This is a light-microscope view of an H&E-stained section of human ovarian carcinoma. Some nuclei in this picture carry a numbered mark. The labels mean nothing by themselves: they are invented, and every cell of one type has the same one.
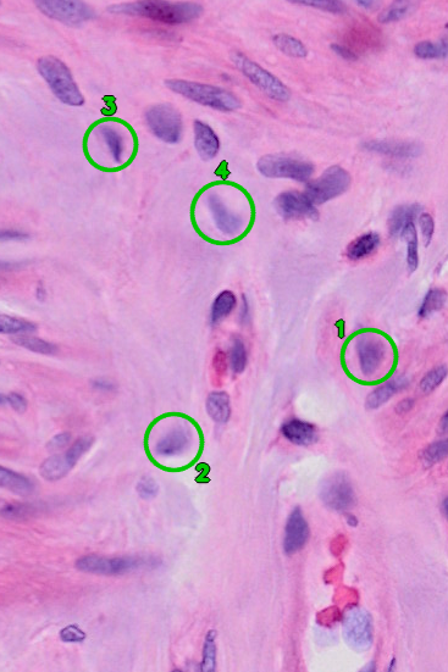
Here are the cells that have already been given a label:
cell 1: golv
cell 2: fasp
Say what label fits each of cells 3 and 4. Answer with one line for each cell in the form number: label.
3: fasp
4: fasp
